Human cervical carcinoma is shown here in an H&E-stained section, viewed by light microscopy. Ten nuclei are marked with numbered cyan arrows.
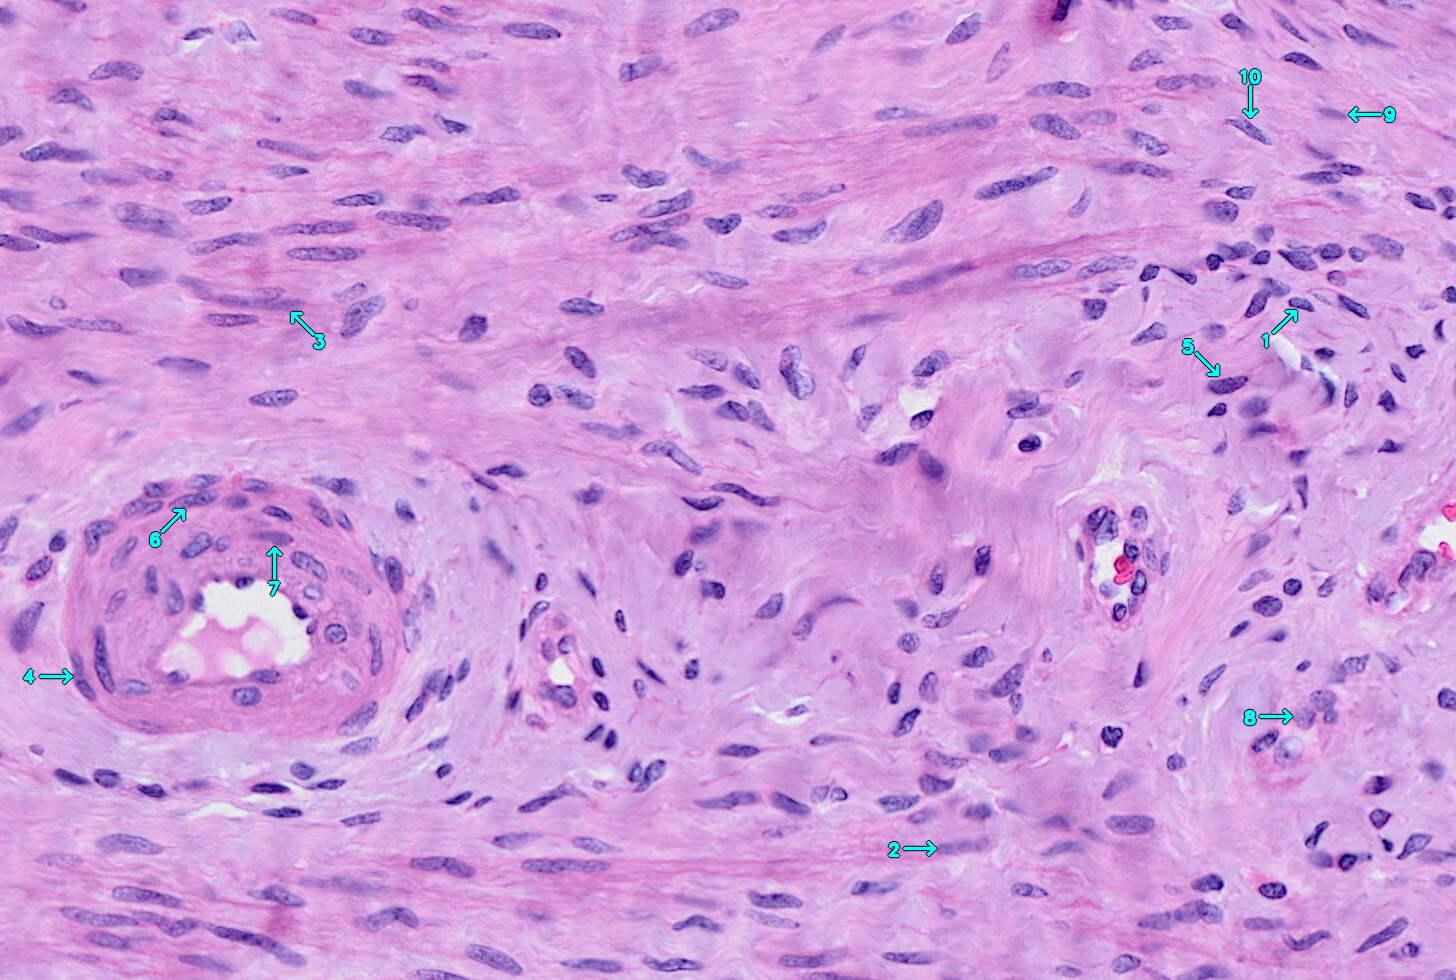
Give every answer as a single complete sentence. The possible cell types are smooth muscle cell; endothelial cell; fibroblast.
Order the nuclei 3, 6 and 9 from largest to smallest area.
By area, largest first, they run 6, 3, 9.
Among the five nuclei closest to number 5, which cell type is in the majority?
Most of the five nuclei nearest to number 5 are those of fibroblasts.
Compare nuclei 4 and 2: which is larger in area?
Nucleus 4 is larger, with an area about 2 times that of nucleus 2.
